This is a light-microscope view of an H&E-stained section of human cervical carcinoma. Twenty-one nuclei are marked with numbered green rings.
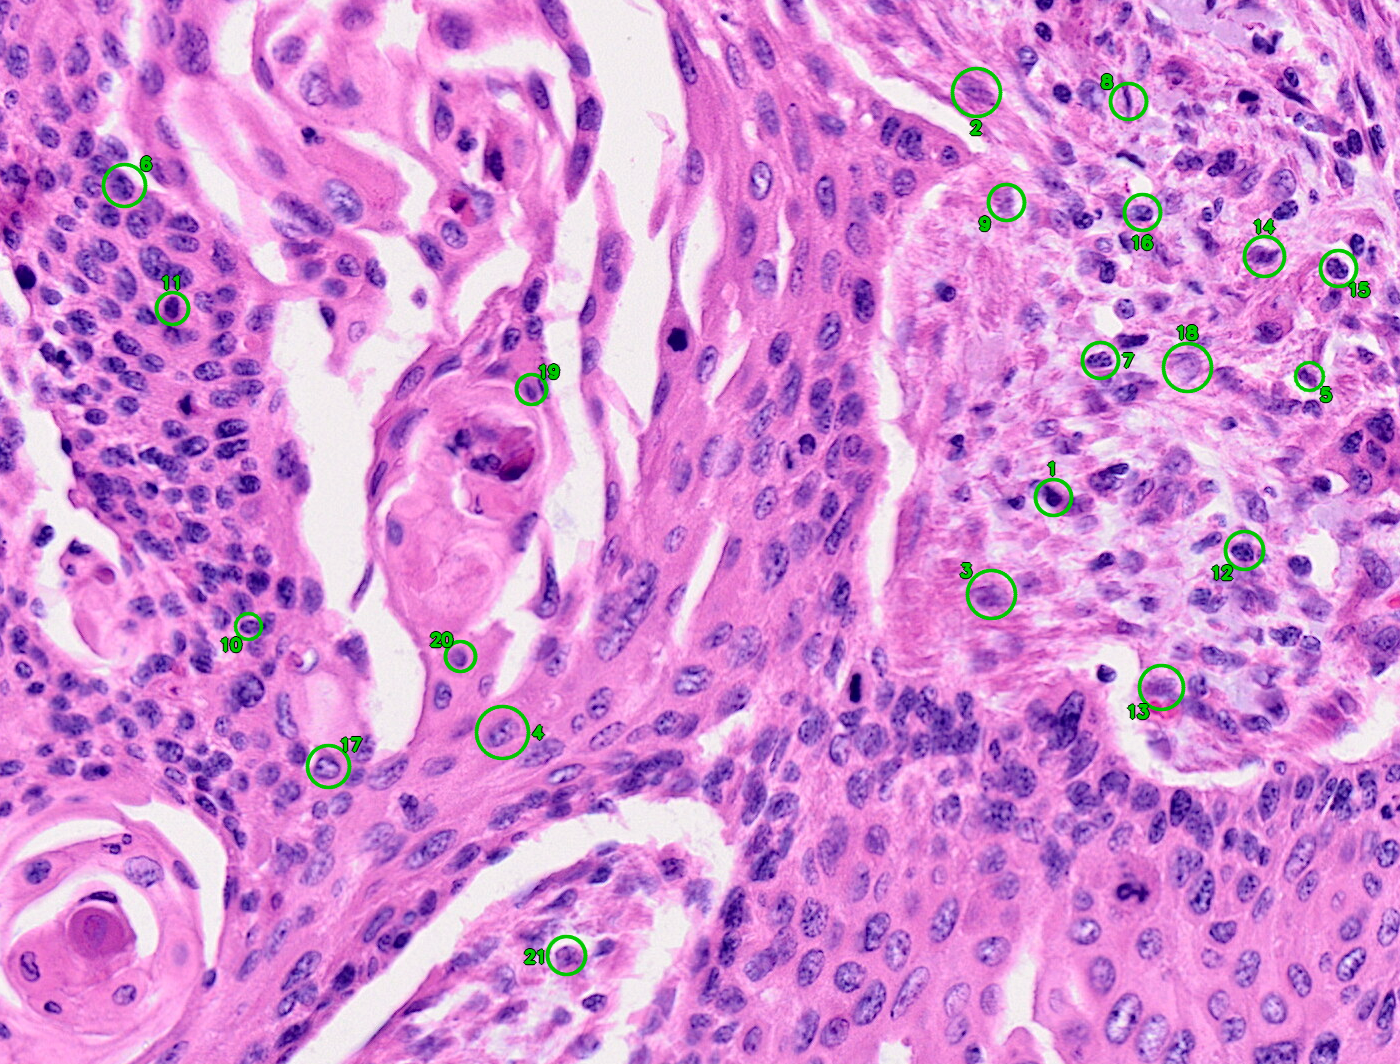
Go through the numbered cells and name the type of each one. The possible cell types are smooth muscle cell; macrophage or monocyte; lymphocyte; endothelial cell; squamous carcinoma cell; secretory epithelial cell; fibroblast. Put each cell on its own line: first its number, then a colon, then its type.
1: lymphocyte
2: fibroblast
3: fibroblast
4: squamous carcinoma cell
5: fibroblast
6: squamous carcinoma cell
7: lymphocyte
8: fibroblast
9: fibroblast
10: squamous carcinoma cell
11: squamous carcinoma cell
12: lymphocyte
13: endothelial cell
14: fibroblast
15: lymphocyte
16: lymphocyte
17: squamous carcinoma cell
18: fibroblast
19: squamous carcinoma cell
20: squamous carcinoma cell
21: macrophage or monocyte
